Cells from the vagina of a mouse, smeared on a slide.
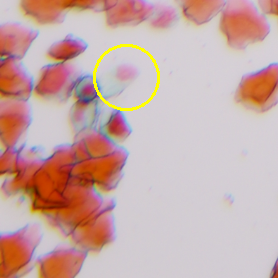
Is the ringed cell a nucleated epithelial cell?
Yes, it is a nucleated epithelial cell.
